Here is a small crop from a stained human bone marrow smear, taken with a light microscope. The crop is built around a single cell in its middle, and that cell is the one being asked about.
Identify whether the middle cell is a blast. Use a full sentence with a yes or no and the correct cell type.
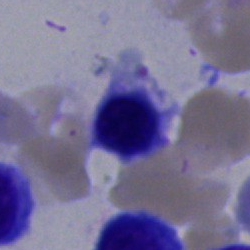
No, it isn't a blast; what sits in the middle is a normoblast.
